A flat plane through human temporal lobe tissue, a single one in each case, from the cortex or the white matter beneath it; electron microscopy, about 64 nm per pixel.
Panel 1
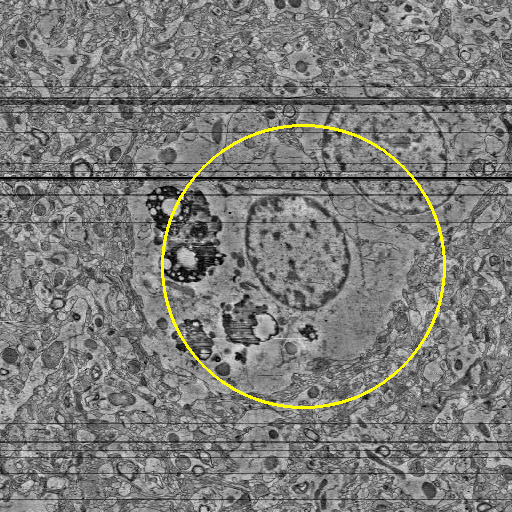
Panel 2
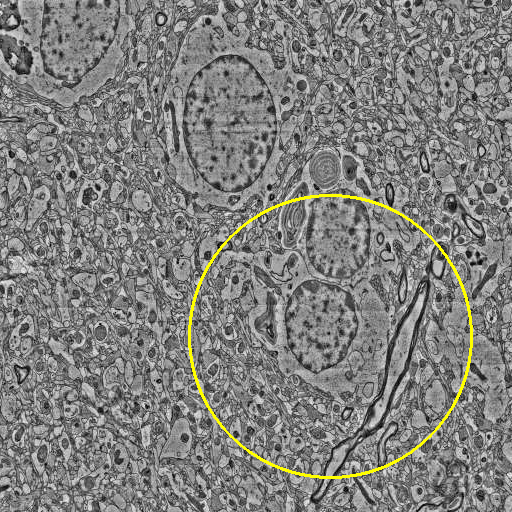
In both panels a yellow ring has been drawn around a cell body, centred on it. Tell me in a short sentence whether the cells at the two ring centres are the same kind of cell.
Yes, they are the same kind of cell.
